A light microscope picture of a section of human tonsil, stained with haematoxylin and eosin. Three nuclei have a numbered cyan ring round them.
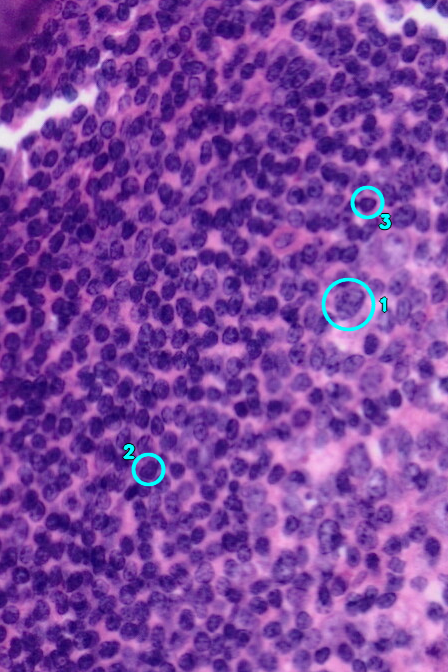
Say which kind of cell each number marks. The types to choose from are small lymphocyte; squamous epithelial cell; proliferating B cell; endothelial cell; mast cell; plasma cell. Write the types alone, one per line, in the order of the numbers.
proliferating B cell
small lymphocyte
small lymphocyte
